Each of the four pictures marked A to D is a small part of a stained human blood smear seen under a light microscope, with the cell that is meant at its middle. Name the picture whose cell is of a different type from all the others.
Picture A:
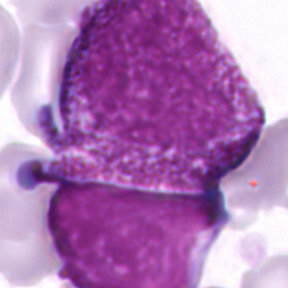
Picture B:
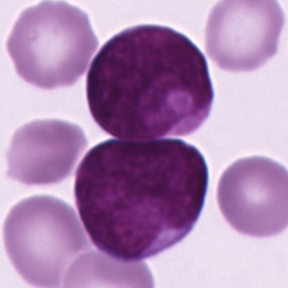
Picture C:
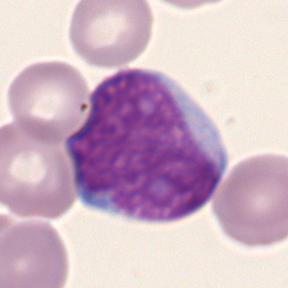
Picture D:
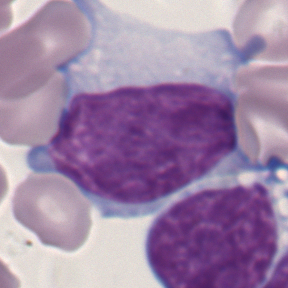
A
